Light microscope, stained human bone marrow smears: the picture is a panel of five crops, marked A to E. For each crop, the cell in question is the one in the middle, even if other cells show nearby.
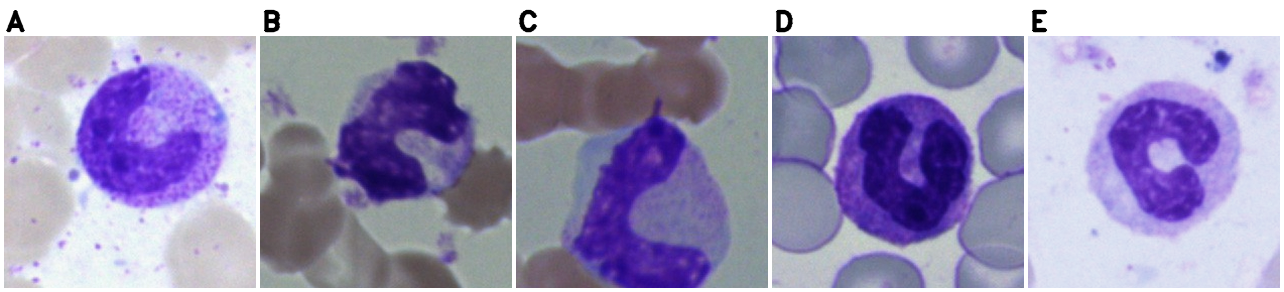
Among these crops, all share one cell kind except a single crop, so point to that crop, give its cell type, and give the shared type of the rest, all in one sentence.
All the crops show band neutrophils, barring crop A, which is a metamyelocyte.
